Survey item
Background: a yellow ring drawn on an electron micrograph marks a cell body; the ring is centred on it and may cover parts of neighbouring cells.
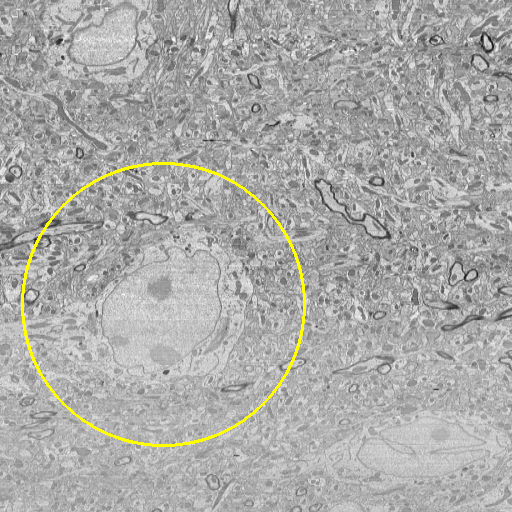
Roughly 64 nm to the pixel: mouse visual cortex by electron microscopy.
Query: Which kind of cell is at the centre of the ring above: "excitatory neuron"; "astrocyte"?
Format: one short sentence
The cell in the middle of the ring is an excitatory neuron.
